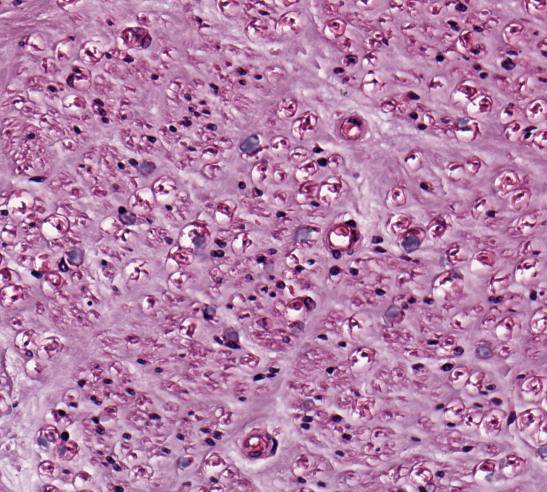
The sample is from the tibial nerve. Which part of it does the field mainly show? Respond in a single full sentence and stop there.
The part of the tissue seen in this section is nerve fascicle.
